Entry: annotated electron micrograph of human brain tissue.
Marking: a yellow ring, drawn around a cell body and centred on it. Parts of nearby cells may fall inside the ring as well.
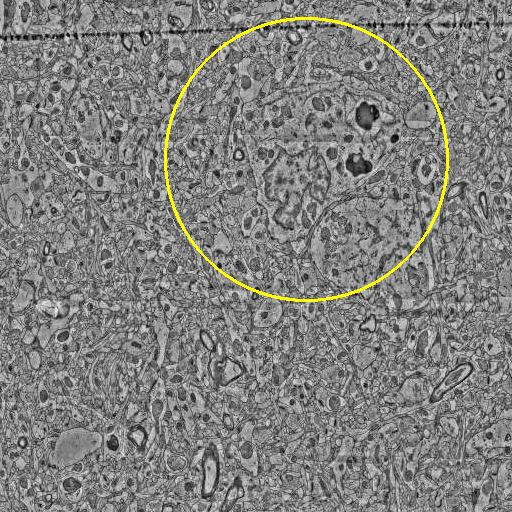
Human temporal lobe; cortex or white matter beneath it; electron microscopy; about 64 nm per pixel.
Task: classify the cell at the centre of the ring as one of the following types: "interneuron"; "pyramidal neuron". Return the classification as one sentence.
The marked cell is classified as an interneuron.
